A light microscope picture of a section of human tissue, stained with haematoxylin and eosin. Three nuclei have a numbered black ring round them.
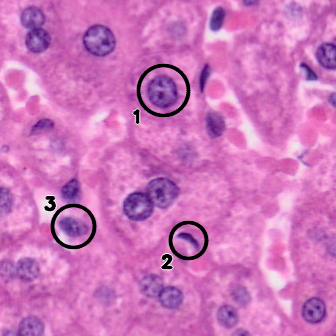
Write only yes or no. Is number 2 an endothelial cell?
yes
